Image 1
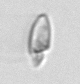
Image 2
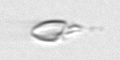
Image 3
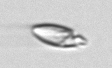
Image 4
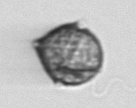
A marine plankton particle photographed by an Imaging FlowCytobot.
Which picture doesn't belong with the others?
Picture 4.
